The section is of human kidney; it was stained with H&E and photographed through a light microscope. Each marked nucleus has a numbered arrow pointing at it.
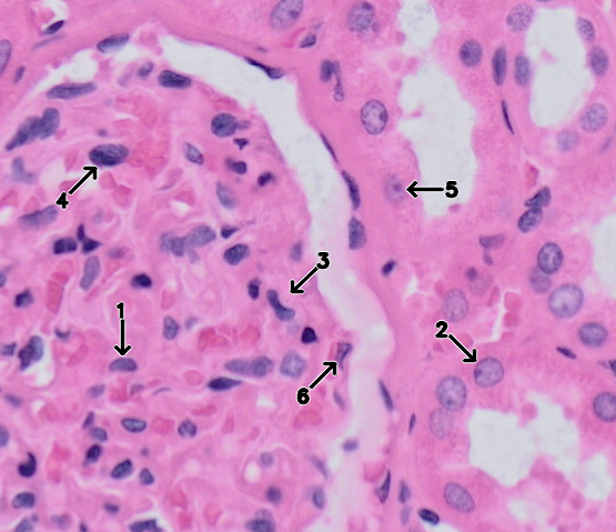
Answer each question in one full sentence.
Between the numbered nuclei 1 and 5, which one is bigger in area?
The larger nucleus is 5, at roughly 1.5 times the area of 1.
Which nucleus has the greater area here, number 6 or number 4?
The larger nucleus is 4, at roughly 3 times the area of 6.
